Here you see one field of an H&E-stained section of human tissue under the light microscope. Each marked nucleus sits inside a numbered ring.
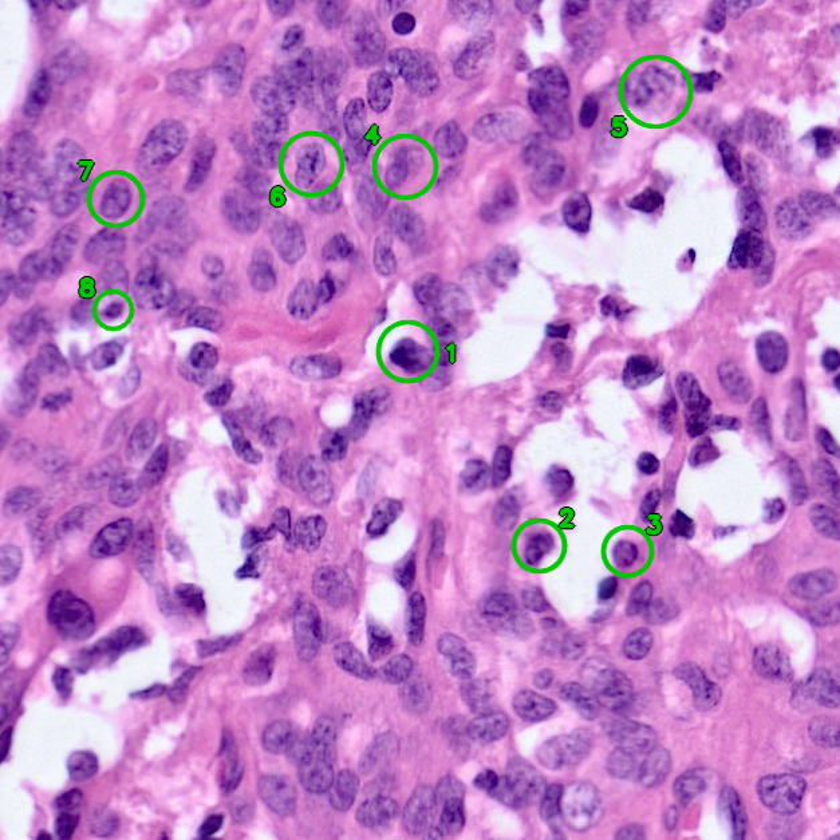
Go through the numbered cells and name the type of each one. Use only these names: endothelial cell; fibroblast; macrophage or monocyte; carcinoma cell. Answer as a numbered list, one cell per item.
1. carcinoma cell
2. macrophage or monocyte
3. macrophage or monocyte
4. carcinoma cell
5. macrophage or monocyte
6. macrophage or monocyte
7. carcinoma cell
8. carcinoma cell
